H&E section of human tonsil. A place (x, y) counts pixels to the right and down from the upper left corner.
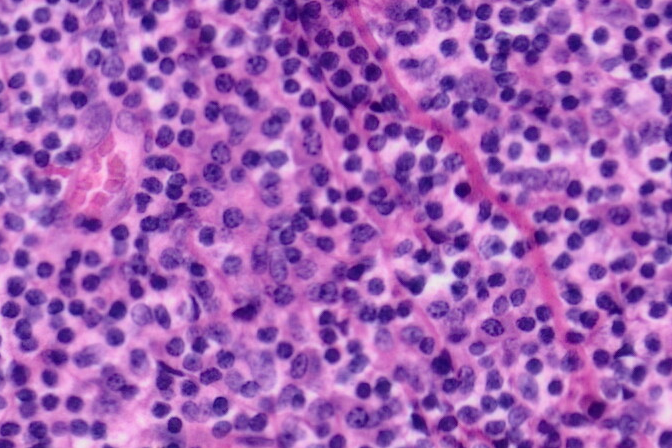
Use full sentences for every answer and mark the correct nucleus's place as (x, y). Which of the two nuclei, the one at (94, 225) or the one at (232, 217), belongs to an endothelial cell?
The nucleus at (94, 225) is the one of the two that belongs to an endothelial cell.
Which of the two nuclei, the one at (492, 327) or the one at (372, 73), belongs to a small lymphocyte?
The nucleus at (372, 73) belongs to a small lymphocyte, which distinguishes it from the other nucleus.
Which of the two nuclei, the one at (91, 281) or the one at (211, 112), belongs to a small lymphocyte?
The nucleus of a small lymphocyte is the one at (91, 281).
